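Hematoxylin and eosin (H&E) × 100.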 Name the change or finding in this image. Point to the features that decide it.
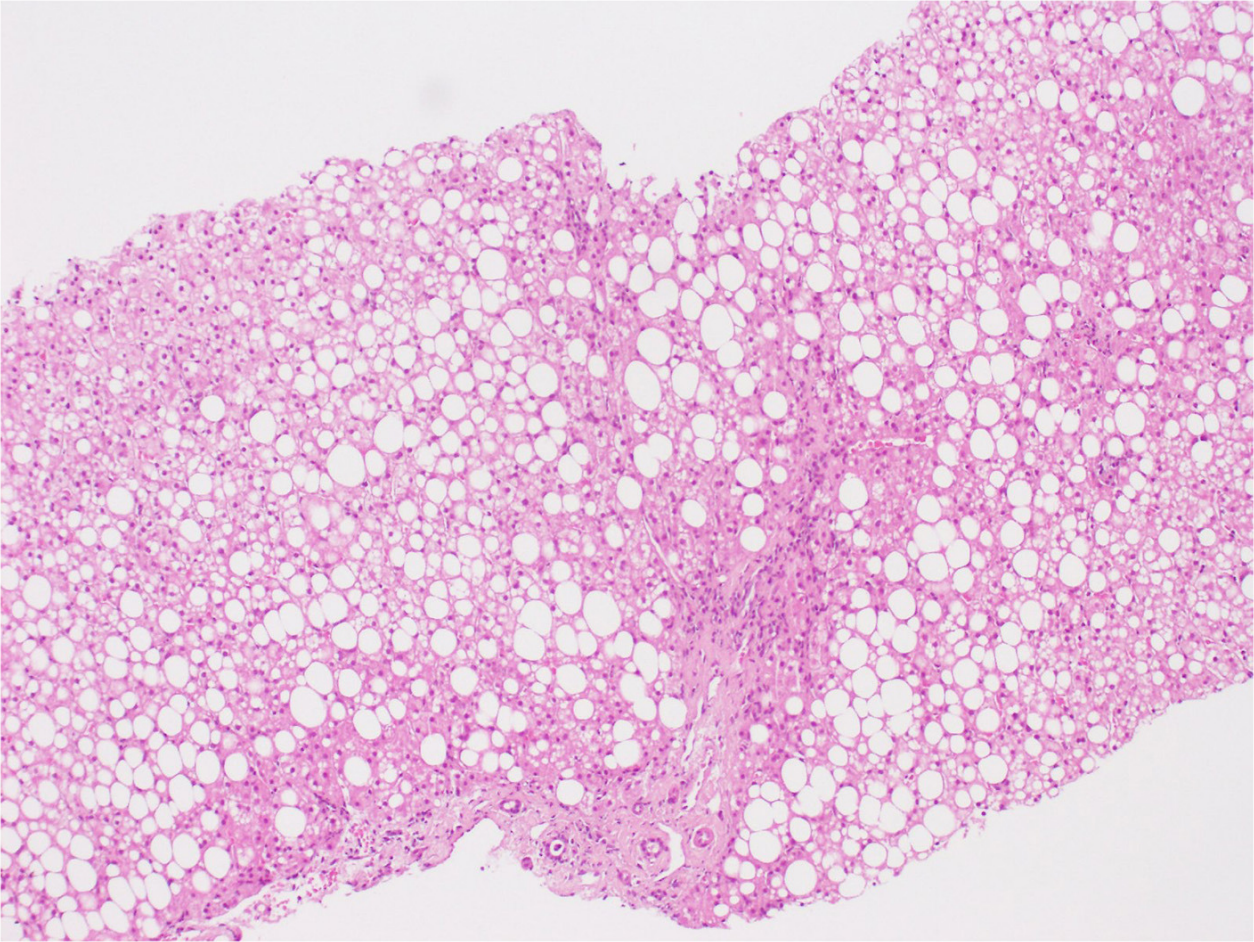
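Macro-vesicular steatosis. Most hepatocytes contain large round clear vacuoles. Many vacuoles fill the cell and push the nucleus to the edge. Clear vacuoles occupy most of the tissue.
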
